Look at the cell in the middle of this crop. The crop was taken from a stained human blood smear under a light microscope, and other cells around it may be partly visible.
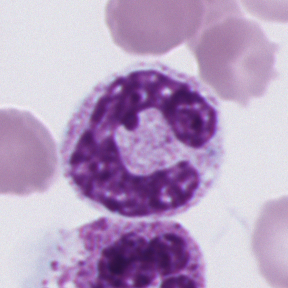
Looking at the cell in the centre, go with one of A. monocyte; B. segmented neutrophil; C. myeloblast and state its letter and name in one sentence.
Option B is correct, and the cell in the centre is a segmented neutrophil.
